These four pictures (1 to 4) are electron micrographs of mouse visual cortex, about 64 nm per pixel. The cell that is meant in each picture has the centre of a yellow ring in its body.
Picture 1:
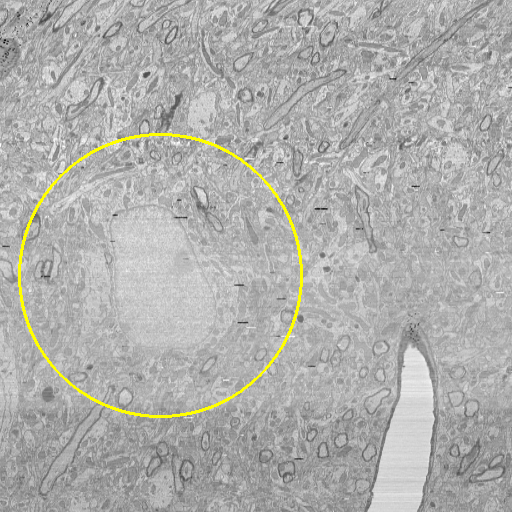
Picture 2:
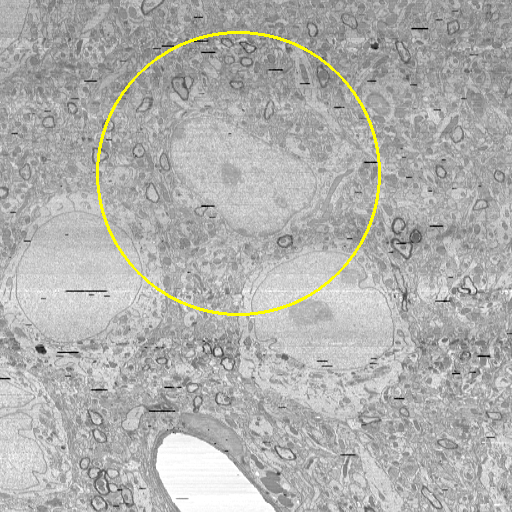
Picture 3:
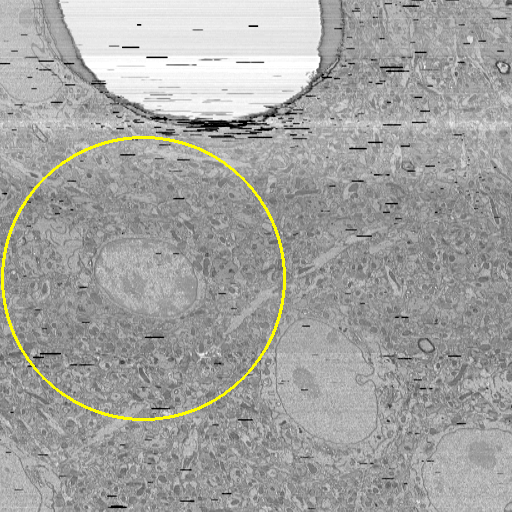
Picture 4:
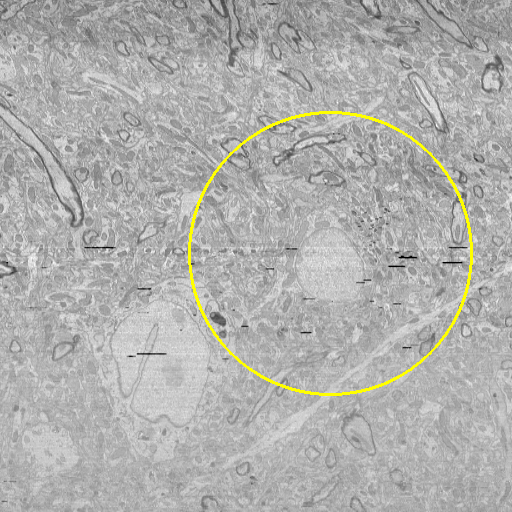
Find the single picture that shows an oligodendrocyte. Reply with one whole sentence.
Picture 3 shows the oligodendrocyte.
